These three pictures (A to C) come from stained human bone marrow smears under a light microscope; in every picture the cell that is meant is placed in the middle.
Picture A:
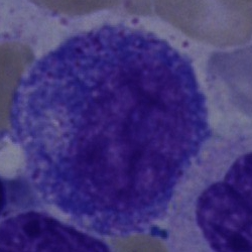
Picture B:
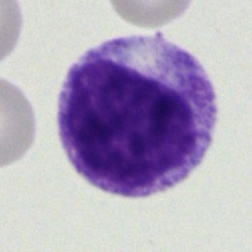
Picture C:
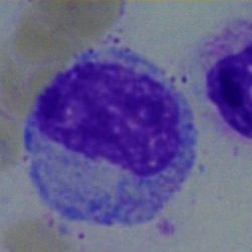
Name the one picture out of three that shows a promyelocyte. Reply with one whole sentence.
The picture with the promyelocyte is A.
